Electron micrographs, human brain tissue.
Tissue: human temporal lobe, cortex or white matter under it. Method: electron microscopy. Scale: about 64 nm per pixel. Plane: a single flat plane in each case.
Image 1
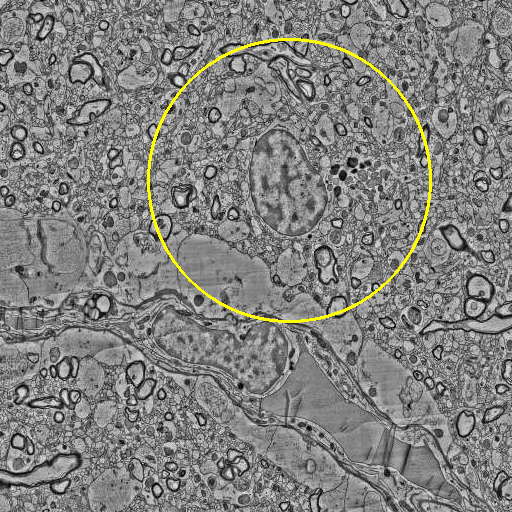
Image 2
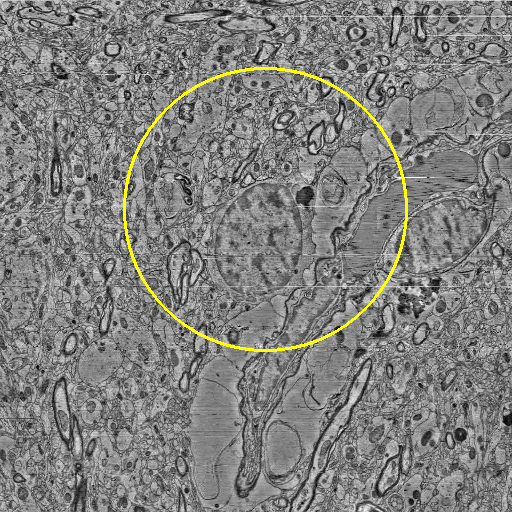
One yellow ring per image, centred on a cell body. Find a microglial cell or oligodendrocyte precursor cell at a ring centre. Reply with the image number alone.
1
